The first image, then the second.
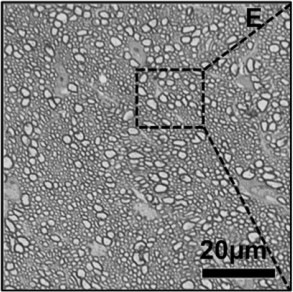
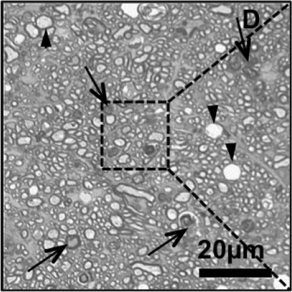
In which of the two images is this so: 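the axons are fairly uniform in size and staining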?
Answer: The first image.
